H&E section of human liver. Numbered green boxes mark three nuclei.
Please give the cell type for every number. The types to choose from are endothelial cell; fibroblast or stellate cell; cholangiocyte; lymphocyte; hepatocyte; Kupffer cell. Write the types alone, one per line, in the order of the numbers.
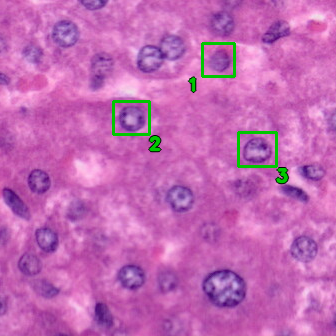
Kupffer cell
hepatocyte
hepatocyte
